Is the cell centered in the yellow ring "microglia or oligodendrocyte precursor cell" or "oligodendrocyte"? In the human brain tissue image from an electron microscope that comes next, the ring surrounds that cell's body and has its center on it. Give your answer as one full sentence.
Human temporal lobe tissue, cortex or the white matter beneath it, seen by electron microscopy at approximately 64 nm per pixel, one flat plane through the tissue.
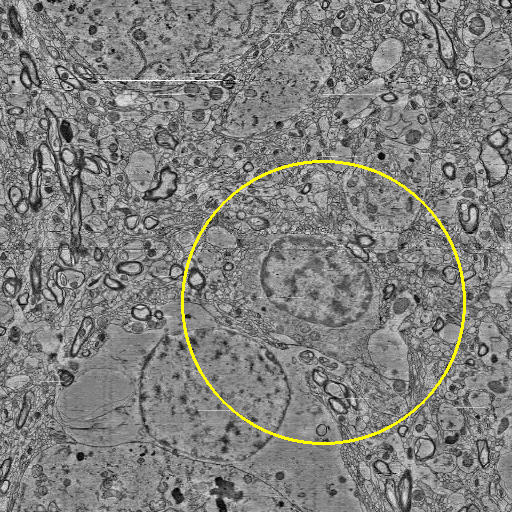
The cell at the center of the yellow ring is an oligodendrocyte in the micrograph.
